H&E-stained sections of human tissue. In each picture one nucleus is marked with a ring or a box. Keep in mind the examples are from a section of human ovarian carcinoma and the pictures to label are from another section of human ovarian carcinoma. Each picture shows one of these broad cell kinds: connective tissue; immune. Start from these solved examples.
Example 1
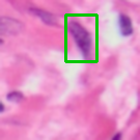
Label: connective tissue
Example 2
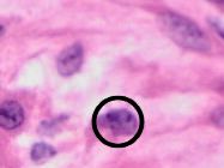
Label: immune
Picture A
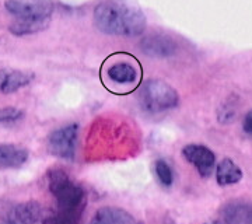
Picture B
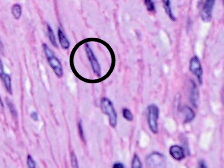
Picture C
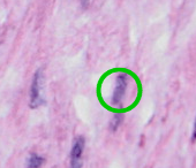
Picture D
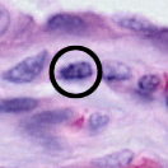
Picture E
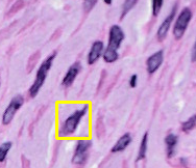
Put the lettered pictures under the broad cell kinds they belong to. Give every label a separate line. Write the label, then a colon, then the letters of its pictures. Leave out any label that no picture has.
connective tissue: B, C, E
immune: A, D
